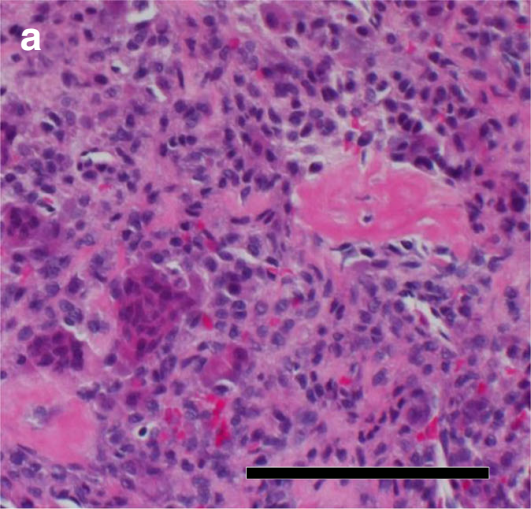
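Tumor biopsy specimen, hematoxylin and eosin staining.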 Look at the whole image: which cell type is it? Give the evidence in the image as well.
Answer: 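Multinucleate giant cells. A few large cells contain many clustered nuclei. These large cells are scattered among much smaller cells with one nucleus each.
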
